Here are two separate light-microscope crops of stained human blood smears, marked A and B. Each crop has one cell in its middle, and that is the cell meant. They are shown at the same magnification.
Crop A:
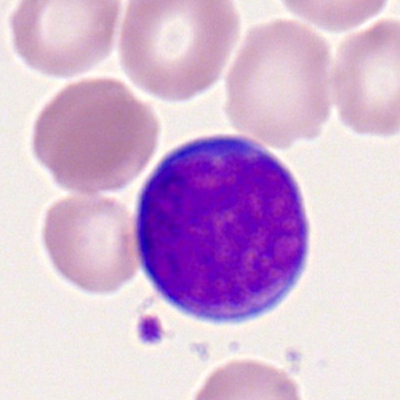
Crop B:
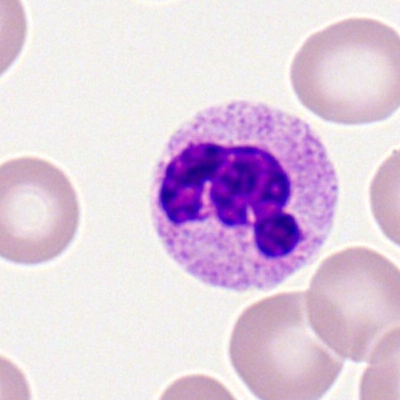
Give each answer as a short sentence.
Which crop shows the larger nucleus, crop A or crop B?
Crop A shows the larger nucleus; it covers about 2 times the area of the nucleus in crop B.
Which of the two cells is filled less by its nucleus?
Of the two, the nucleus in crop B leaves more room for cytoplasm.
